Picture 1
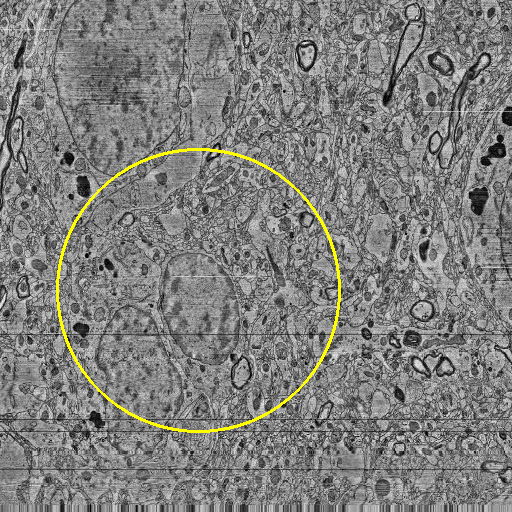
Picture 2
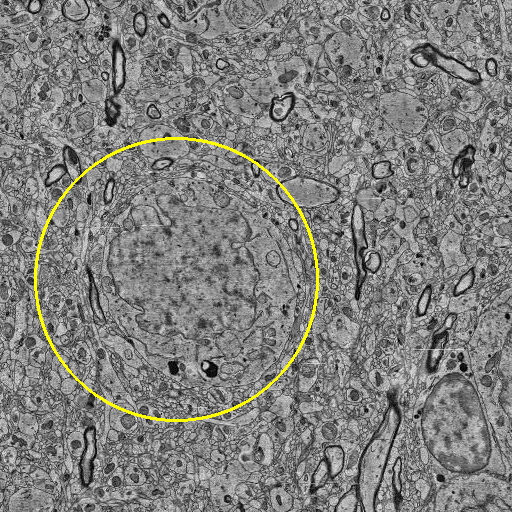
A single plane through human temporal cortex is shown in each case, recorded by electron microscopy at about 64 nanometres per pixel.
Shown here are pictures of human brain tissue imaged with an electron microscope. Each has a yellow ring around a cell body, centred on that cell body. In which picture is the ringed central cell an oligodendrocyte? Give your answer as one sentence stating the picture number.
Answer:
My answer is picture 1, where the ringed cell at the centre is the one sought.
